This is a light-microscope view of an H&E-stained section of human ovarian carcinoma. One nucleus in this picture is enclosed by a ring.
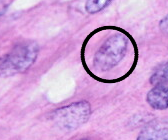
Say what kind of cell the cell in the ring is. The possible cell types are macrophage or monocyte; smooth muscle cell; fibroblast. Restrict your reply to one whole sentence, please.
The category to which the cell in the ring belongs is that of a fibroblast.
